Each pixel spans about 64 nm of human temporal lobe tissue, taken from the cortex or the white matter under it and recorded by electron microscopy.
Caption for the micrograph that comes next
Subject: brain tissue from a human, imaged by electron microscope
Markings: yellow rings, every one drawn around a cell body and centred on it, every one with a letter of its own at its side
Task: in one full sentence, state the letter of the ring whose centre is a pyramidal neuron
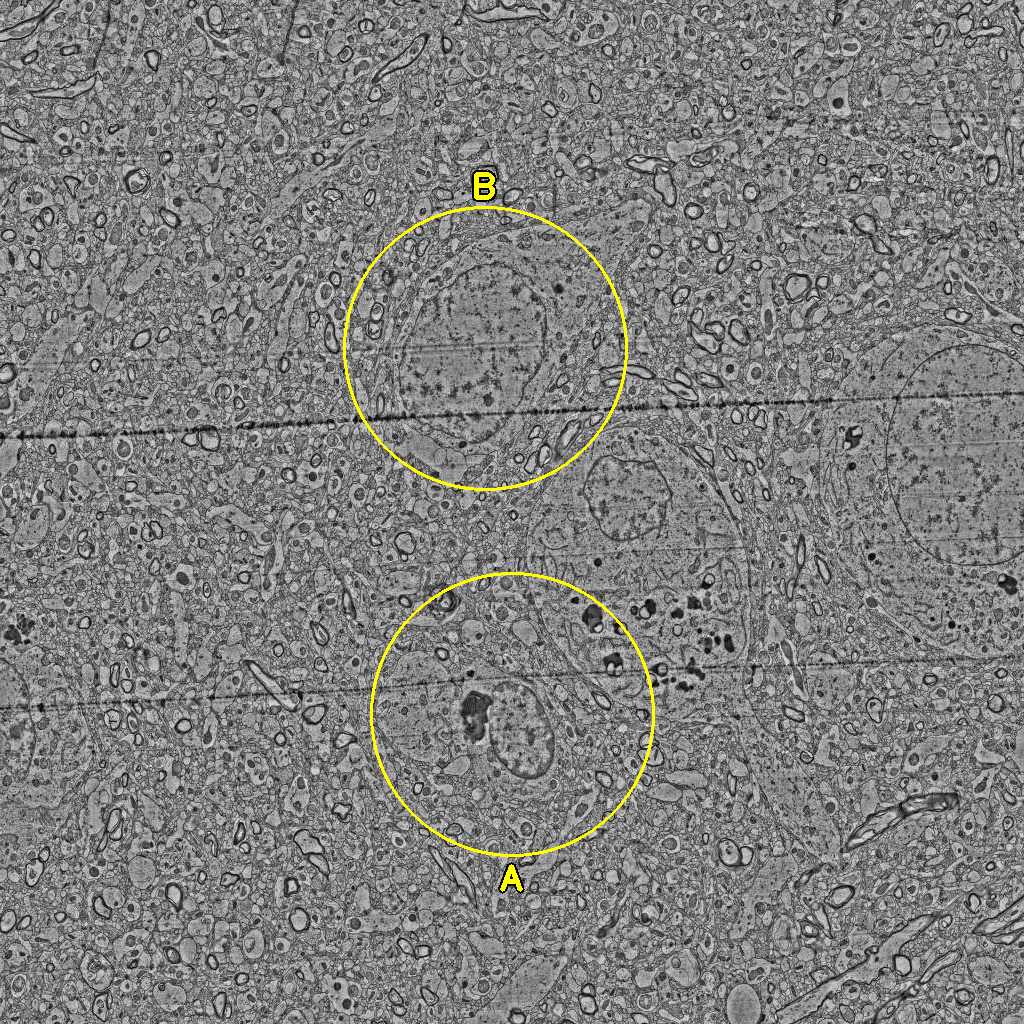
The ring centred on the cell asked for in this micrograph carries the letter B.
